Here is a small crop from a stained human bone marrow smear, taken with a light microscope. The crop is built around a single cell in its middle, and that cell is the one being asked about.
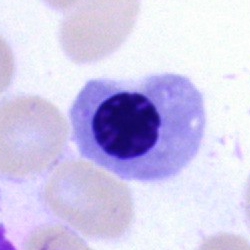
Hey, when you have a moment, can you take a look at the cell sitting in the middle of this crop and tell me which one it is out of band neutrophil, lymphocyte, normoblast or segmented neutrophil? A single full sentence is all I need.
On this slide crop, the central cell is a normoblast.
